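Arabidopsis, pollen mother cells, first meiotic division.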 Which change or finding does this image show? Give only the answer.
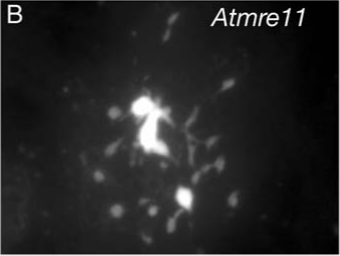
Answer: Chromosome fragmentation.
